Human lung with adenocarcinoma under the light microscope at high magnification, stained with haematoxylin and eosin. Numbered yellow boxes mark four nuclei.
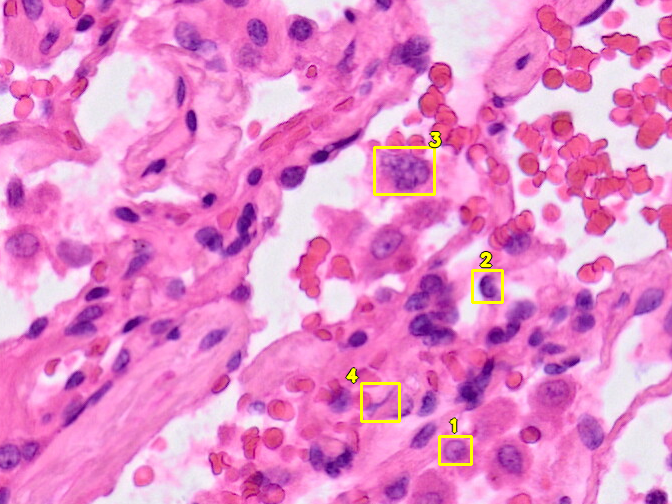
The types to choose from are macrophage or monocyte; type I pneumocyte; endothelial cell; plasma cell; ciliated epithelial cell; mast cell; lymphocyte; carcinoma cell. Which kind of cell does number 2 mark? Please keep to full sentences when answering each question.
What the number 2 marks in this field is a type I pneumocyte.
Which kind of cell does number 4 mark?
Number 4 is placed on an endothelial cell here.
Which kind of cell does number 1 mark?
Regarding cell 1, this one is a macrophage or monocyte.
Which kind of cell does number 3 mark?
What the number 3 marks in this field is a carcinoma cell.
